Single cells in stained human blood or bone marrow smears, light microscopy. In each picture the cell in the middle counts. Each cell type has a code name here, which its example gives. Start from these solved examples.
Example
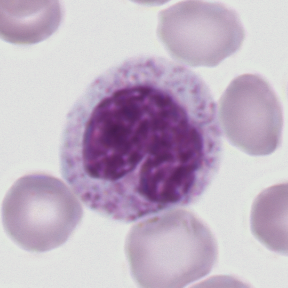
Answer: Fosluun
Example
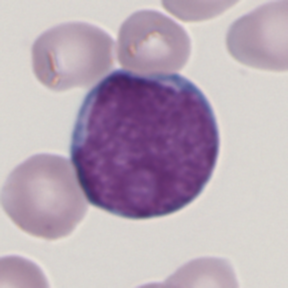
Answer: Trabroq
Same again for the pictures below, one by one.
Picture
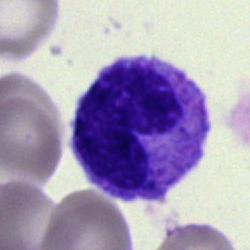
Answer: Fosluun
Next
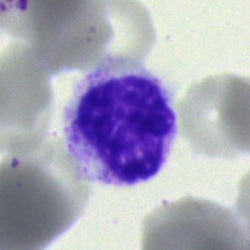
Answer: Fosluun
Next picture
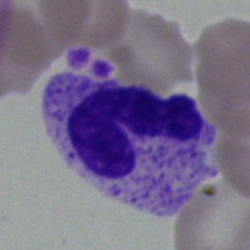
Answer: Fosluun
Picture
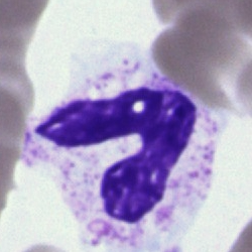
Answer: Fosluun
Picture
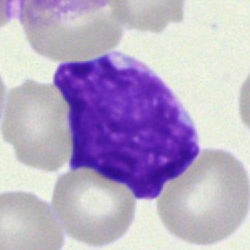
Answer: Trabroq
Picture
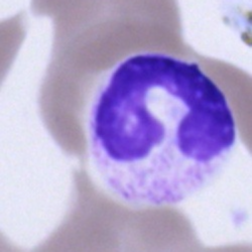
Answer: Fosluun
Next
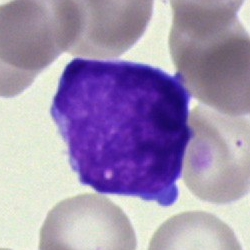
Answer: Trabroq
